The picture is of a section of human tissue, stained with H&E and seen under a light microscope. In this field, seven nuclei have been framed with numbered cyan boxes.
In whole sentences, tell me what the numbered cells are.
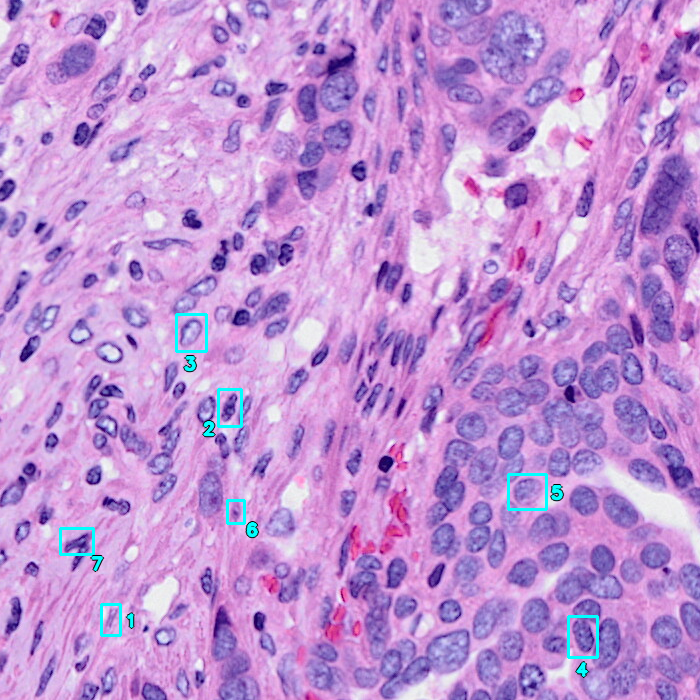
Cells 1, 3, 6 and 7 are fibroblasts. Cell 2 is a lymphocyte. Cells 4 and 5 are carcinoma cells.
